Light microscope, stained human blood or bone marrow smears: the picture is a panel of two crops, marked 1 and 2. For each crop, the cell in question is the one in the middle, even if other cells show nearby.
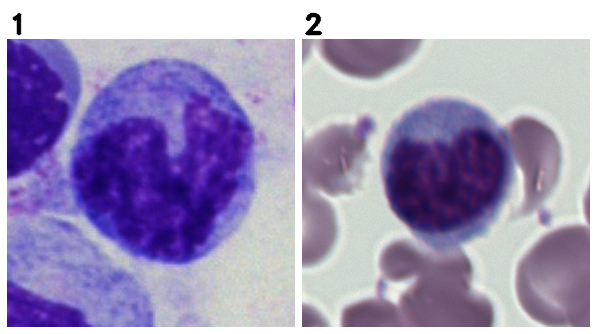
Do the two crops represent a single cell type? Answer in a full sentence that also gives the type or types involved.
Yes, these two crops both show monocytes.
